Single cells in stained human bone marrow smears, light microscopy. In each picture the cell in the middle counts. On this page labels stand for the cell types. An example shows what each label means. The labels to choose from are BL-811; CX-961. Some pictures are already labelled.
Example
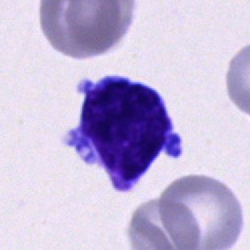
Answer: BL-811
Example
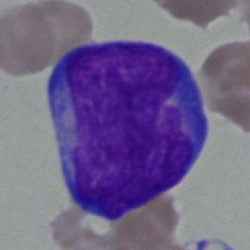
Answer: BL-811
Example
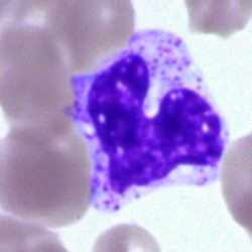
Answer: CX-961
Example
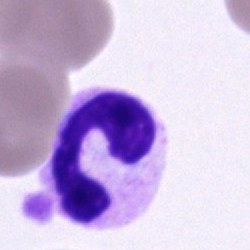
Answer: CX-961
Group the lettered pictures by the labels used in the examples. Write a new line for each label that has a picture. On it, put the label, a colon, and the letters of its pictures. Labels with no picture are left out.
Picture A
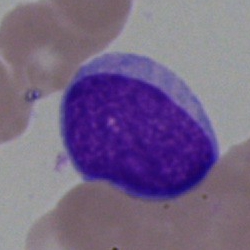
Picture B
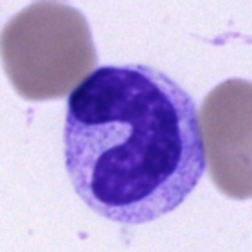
BL-811: A
CX-961: B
